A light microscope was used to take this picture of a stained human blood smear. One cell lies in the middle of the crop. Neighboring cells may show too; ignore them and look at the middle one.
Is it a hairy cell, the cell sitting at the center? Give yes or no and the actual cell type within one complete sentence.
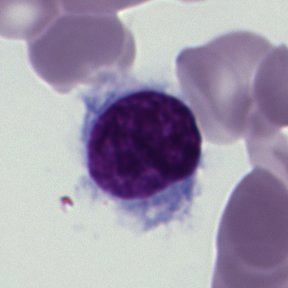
Yes, the cell at the centre is designated a hairy cell.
